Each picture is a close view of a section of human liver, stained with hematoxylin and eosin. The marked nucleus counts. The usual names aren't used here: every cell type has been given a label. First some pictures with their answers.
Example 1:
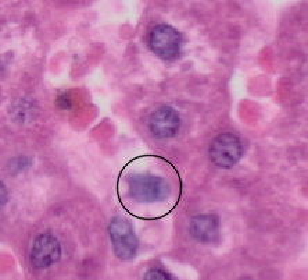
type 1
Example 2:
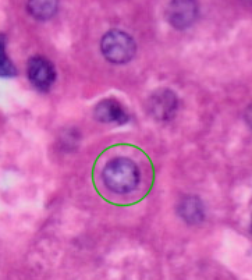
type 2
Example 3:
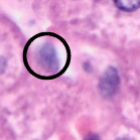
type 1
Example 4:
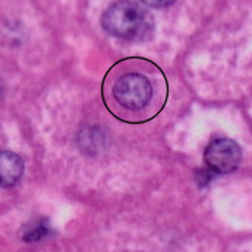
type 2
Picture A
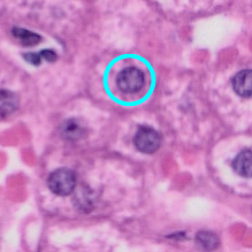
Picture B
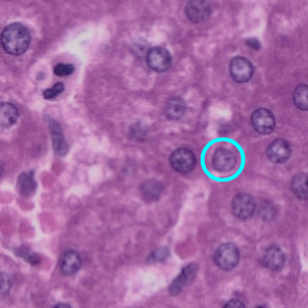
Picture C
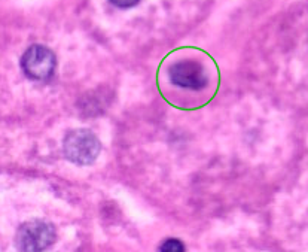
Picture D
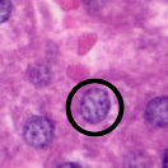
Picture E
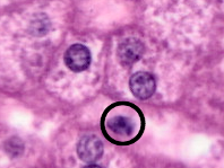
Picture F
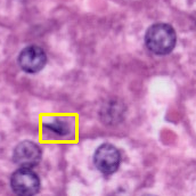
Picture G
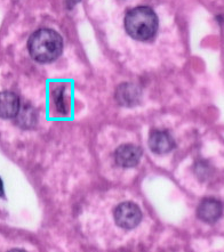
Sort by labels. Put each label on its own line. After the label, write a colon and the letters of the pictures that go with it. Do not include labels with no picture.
type 1: C, E, F, G
type 2: A, B, D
